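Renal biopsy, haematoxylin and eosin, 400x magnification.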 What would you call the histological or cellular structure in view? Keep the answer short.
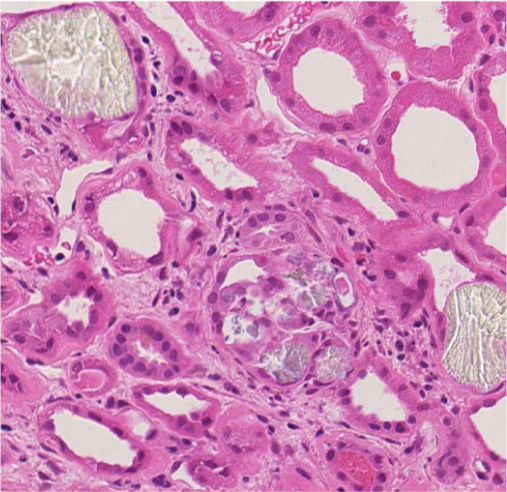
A: Oxalate crystals.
